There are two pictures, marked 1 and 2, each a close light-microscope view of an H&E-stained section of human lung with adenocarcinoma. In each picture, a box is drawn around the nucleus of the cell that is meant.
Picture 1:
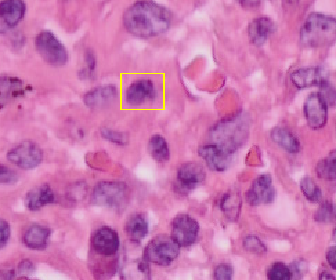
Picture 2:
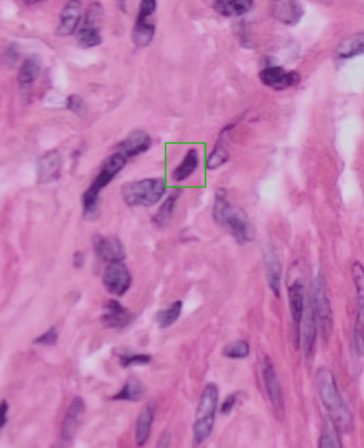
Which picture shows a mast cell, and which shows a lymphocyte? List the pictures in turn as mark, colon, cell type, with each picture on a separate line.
1: lymphocyte
2: mast cell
